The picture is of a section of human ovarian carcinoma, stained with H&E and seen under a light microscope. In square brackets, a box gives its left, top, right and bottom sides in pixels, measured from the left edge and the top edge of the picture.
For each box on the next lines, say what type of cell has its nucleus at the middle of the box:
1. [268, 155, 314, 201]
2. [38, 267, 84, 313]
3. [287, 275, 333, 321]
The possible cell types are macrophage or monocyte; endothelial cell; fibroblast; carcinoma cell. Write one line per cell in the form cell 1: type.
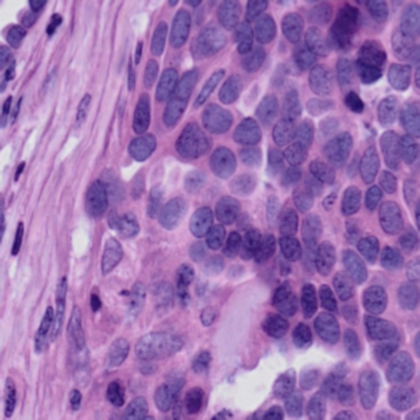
cell 1: carcinoma cell
cell 2: fibroblast
cell 3: carcinoma cell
